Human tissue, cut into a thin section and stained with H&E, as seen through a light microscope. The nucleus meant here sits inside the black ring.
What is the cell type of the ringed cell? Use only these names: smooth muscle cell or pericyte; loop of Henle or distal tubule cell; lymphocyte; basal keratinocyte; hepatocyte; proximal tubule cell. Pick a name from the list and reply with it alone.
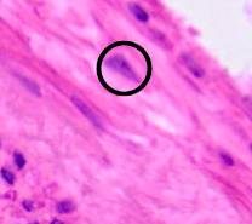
smooth muscle cell or pericyte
